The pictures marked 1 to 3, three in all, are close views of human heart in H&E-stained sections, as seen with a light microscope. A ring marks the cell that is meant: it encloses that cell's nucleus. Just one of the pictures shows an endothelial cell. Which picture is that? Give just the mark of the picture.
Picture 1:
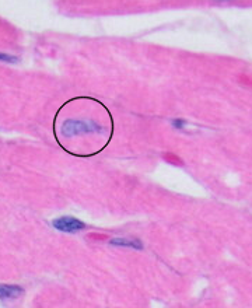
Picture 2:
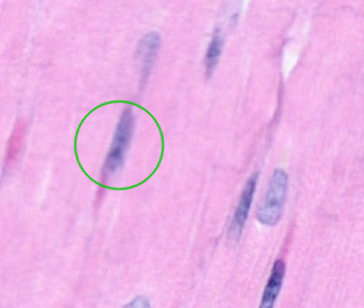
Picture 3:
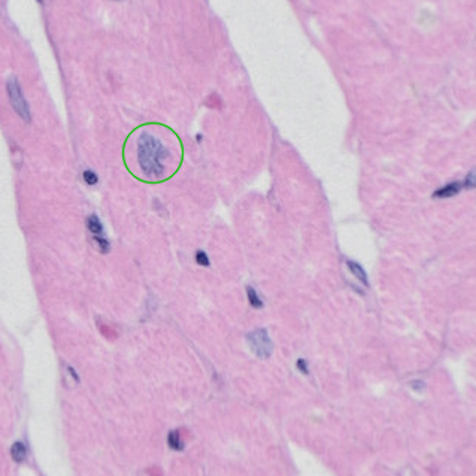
2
